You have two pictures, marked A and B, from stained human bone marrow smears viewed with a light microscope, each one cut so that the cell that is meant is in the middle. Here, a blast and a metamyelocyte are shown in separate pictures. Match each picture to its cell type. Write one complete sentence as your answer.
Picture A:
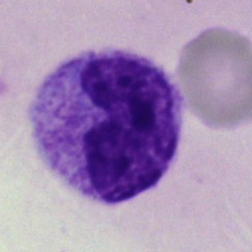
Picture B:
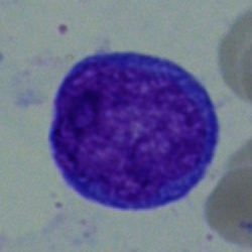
The cell in picture A is a metamyelocyte, and the one in picture B is a blast.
